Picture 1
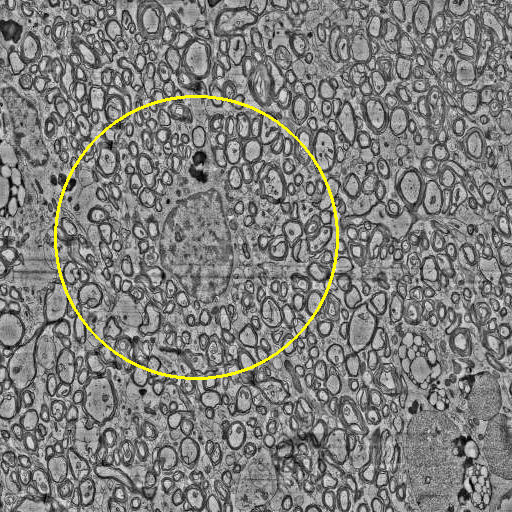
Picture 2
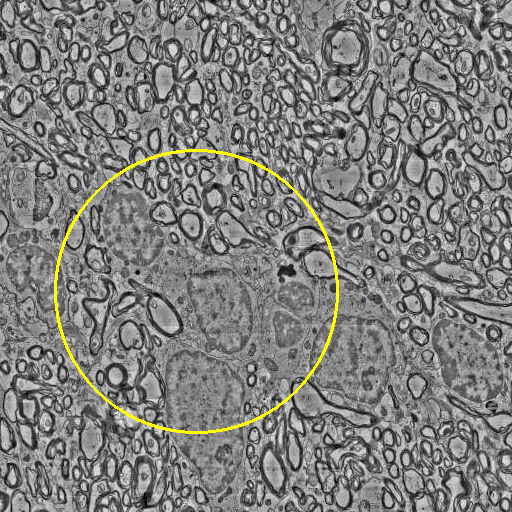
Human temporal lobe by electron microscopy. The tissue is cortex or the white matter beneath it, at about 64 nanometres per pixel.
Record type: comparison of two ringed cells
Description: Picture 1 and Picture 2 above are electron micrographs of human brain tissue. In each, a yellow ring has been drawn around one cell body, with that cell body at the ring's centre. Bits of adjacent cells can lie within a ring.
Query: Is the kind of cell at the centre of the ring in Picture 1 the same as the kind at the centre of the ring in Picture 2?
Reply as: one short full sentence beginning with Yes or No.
Yes, the two ringed cells are of the same kind.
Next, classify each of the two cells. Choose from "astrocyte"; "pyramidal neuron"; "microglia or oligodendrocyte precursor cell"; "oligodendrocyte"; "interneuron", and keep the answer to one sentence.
In both pictures the ring is centred on an oligodendrocyte.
